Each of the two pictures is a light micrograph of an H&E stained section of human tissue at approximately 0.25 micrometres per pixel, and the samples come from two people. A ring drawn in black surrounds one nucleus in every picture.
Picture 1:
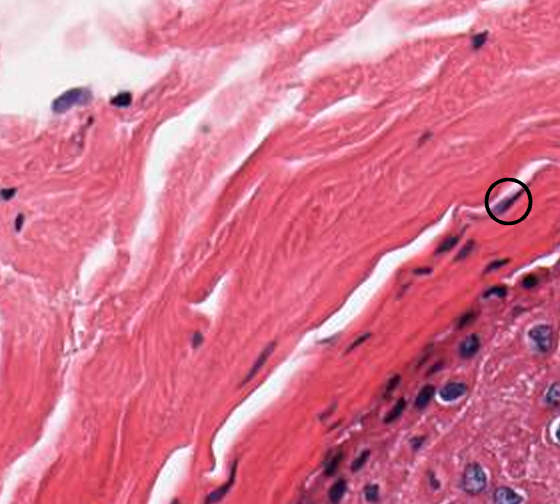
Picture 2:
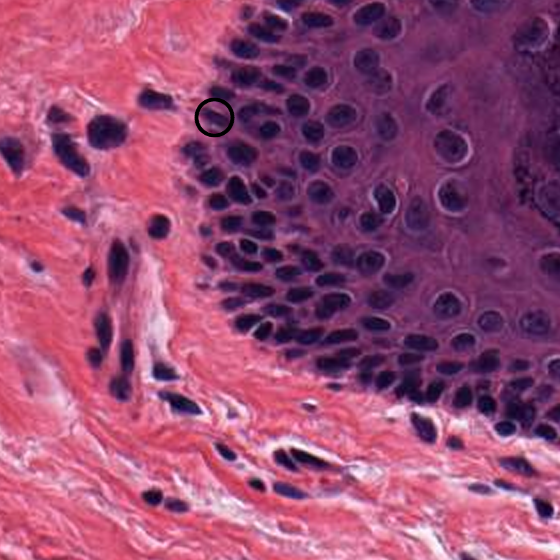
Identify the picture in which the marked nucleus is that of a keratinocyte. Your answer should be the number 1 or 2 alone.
2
